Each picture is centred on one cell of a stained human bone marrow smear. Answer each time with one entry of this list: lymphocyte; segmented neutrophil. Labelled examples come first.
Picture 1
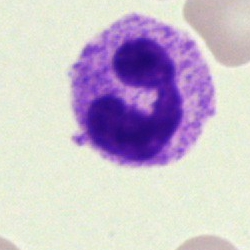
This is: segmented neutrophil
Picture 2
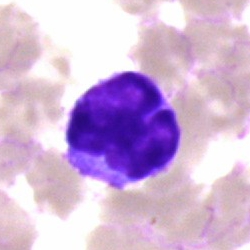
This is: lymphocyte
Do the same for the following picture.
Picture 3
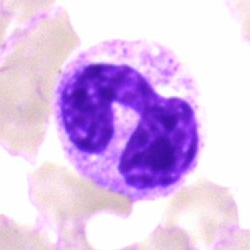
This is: segmented neutrophil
